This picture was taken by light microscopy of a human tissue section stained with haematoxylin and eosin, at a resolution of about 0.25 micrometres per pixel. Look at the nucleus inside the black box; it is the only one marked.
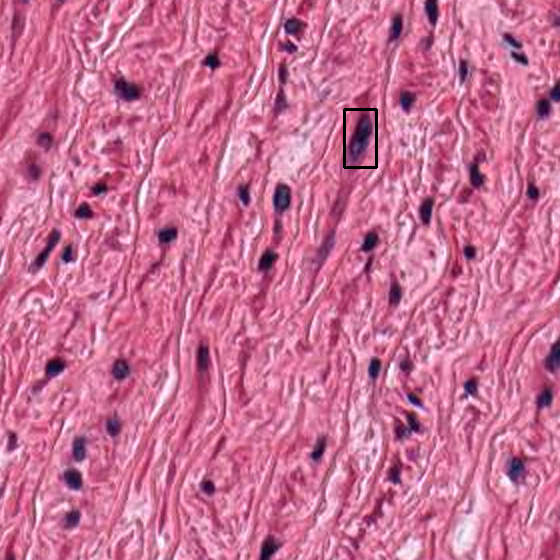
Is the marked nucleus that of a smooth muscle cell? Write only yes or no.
yes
